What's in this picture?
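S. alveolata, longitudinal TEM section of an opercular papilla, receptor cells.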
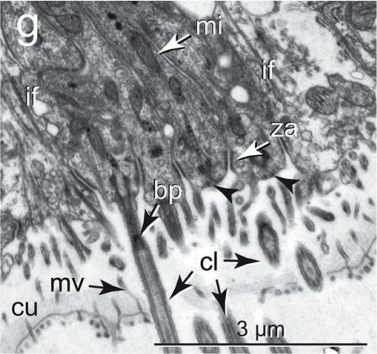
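Shorter microvilli also project from the apical surface and penetrate the cuticle, which appears as a pale layer without fibre bundles. The cytoplasm beneath the apex contains elongated mitochondria and bundles of intermediate filaments in neighbouring cells. Adjacent cells are joined near their apices by dense junctional zones, the zonulae adherentes.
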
